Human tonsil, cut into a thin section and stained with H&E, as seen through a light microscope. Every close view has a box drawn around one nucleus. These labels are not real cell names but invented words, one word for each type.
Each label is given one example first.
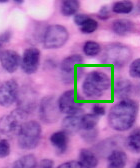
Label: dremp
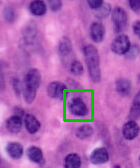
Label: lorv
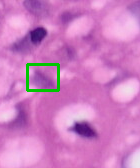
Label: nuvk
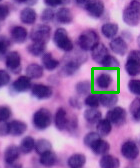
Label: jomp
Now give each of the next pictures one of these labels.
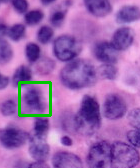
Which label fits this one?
dremp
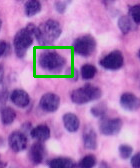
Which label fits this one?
dremp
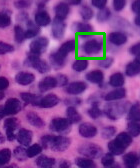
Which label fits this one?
jomp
